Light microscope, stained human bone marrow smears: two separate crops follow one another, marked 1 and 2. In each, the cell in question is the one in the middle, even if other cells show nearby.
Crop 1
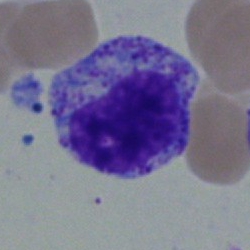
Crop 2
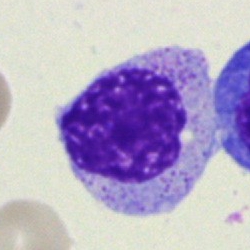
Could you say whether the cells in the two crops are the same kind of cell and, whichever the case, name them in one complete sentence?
Yes, the cells in both crops are myelocytes.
